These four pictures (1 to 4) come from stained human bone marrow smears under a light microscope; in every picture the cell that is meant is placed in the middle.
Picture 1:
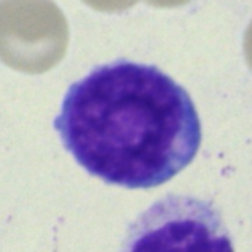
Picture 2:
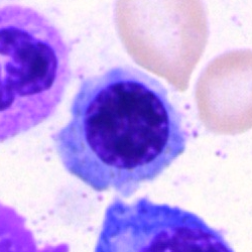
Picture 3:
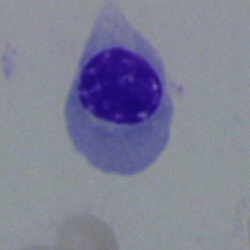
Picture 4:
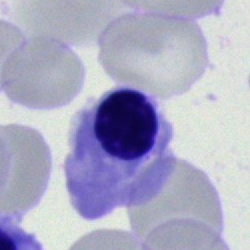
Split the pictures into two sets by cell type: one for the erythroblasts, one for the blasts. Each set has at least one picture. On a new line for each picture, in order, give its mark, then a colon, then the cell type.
1: blast
2: erythroblast
3: erythroblast
4: erythroblast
